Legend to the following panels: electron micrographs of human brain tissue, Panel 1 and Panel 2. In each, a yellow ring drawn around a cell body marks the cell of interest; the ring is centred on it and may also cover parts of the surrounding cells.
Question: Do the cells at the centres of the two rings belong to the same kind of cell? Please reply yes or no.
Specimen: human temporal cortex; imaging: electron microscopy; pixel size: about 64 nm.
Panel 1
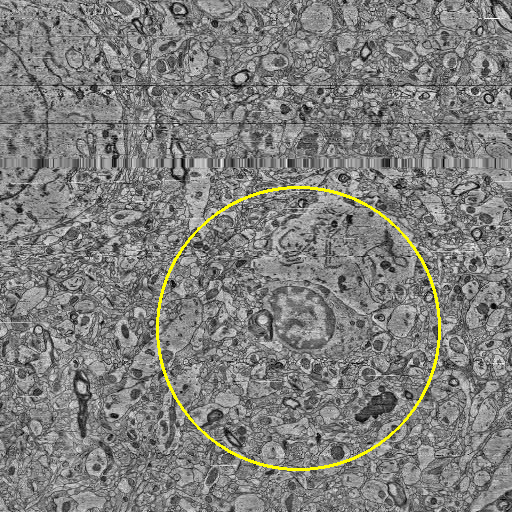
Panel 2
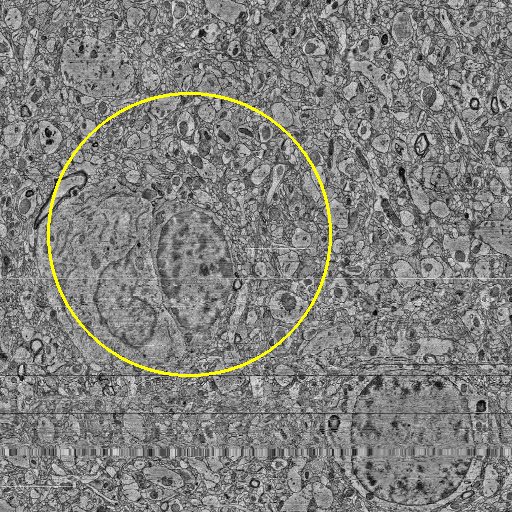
yes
